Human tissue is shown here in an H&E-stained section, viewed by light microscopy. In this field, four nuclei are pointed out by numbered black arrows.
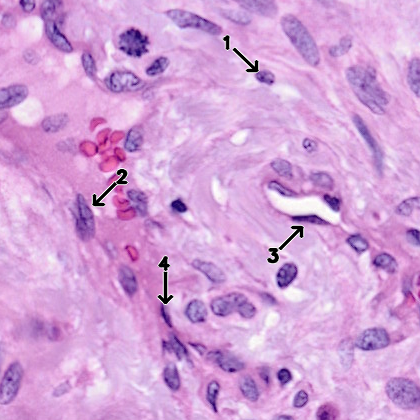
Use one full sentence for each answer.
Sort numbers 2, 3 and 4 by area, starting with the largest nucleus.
From largest to smallest, the order is 2, 3, 4.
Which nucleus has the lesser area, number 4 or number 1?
Nucleus 4 covers less area, with nucleus 1 about 2 times as large.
